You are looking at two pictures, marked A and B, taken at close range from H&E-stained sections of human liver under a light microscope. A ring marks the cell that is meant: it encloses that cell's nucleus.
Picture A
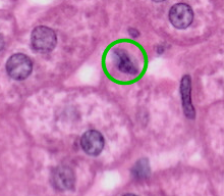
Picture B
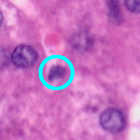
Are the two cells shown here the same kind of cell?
yes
